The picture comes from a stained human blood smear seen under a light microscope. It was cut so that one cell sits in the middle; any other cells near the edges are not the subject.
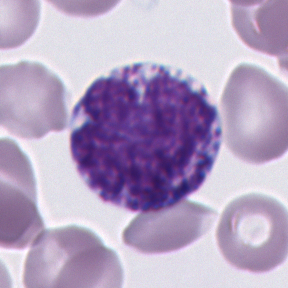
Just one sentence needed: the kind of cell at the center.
In the middle of this smear crop, the cell is a basophil.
